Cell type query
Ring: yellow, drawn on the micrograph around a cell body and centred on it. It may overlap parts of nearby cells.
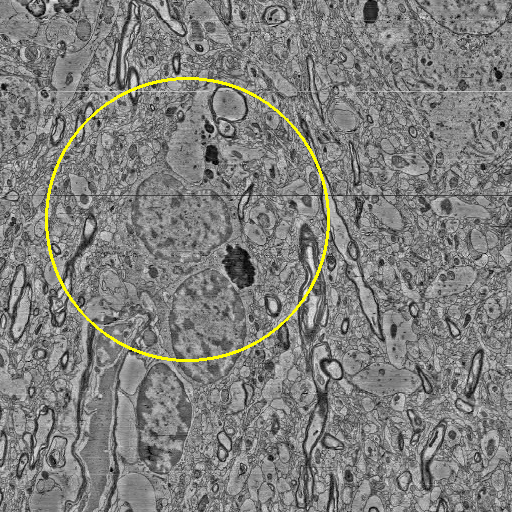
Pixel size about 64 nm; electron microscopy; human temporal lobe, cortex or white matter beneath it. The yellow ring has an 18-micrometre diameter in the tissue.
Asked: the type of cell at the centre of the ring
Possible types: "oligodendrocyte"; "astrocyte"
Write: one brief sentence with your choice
The ring marks an oligodendrocyte.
